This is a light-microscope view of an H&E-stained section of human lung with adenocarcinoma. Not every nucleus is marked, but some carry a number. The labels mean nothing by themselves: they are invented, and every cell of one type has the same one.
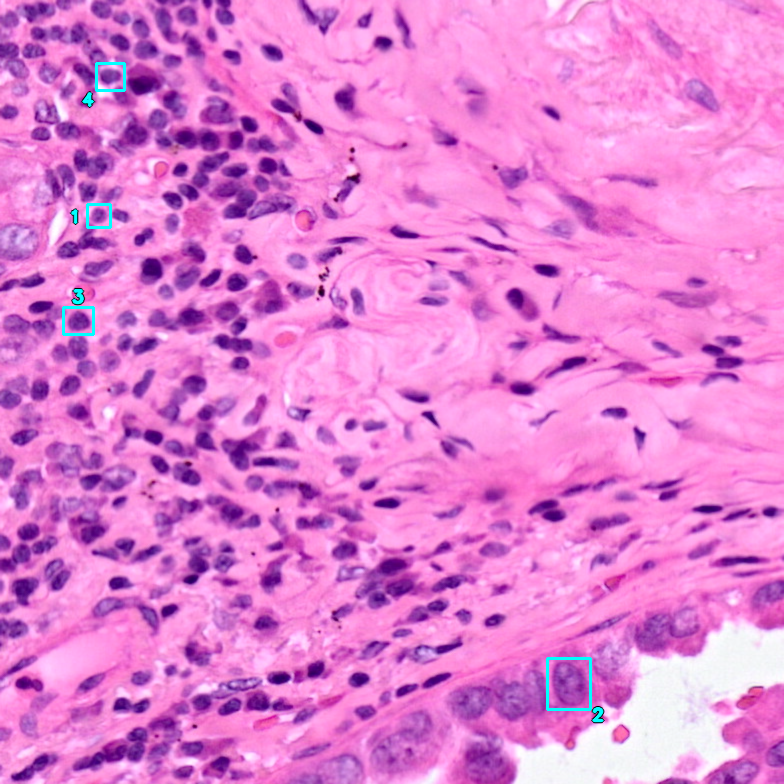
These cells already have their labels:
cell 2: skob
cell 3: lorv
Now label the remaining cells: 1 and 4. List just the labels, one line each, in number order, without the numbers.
lorv
lorv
